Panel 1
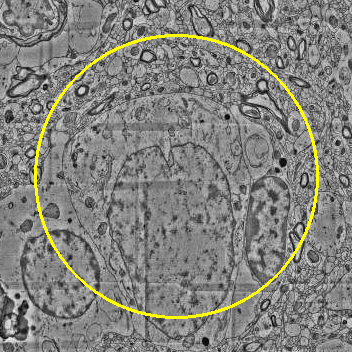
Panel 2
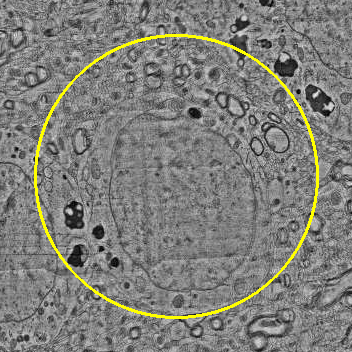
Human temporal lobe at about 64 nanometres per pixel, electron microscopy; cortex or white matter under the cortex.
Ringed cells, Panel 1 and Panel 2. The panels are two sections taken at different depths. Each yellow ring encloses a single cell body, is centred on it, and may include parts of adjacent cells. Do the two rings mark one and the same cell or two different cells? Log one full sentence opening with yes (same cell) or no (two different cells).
No, the two rings were placed on two different cells.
